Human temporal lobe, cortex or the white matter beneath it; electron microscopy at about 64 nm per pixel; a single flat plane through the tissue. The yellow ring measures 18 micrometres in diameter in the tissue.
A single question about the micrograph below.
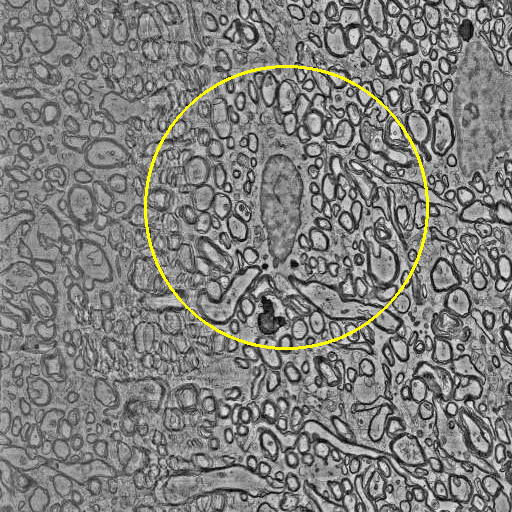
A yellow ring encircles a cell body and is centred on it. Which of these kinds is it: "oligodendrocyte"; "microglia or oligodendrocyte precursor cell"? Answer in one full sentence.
The cell body at the centre of the yellow ring belongs to an oligodendrocyte.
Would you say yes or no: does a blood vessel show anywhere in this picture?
Yes, a vessel appears in the picture.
